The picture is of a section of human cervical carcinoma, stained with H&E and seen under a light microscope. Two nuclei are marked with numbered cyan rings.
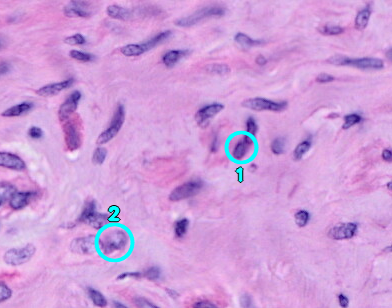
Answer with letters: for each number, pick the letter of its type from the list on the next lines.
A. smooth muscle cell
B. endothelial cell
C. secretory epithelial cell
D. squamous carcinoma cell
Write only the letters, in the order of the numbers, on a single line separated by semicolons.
A; B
